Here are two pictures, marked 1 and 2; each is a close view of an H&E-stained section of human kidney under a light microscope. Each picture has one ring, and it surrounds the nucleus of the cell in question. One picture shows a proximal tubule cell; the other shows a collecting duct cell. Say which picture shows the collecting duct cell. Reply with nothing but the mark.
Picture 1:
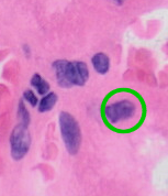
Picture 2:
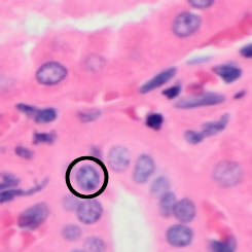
2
